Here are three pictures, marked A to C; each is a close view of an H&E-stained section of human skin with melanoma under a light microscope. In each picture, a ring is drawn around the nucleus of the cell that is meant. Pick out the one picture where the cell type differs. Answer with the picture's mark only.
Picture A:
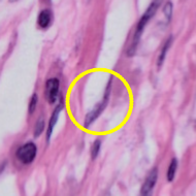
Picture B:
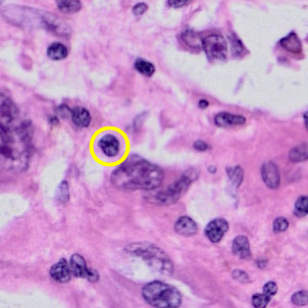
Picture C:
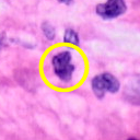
A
